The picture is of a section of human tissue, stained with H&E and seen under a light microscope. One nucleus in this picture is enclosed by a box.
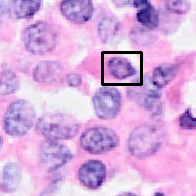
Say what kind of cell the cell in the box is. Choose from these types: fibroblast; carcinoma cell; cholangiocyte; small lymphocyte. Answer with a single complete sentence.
As far as its identity is concerned, the cell in the box is a carcinoma cell.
